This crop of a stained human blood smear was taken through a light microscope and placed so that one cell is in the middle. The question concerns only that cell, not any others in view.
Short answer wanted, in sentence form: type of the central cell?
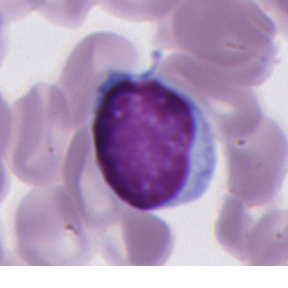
Present in the middle of the crop is a typical lymphocyte.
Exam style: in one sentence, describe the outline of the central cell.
Its outline is ragged or drawn out into projections, not smooth.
